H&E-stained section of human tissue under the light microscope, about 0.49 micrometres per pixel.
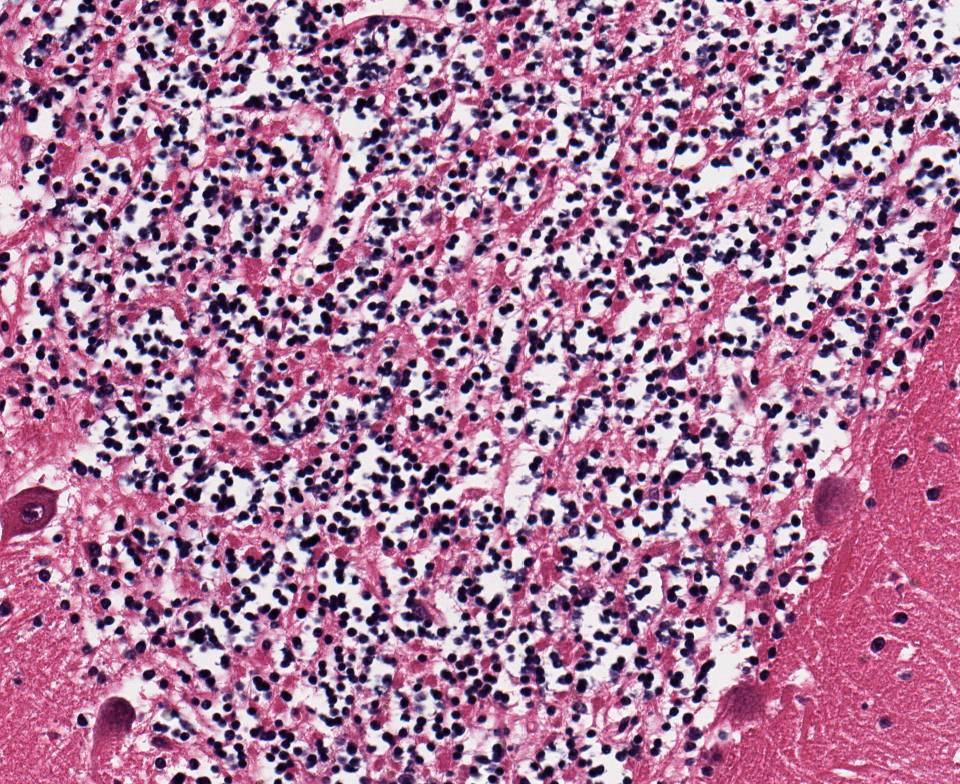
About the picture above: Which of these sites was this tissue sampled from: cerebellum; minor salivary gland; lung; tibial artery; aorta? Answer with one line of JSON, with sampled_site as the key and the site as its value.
{"sampled_site": "cerebellum"}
